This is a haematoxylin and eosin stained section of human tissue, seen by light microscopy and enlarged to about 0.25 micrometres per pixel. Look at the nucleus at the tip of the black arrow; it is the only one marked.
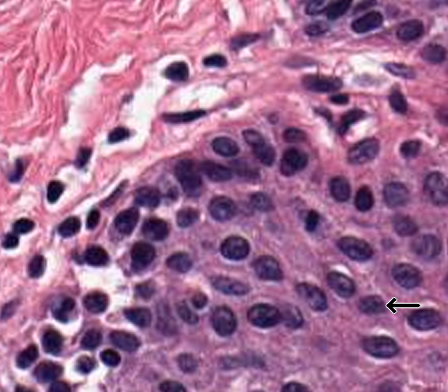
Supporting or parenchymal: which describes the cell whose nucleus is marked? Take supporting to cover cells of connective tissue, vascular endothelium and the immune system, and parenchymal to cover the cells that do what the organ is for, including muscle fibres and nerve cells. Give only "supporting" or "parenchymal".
parenchymal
